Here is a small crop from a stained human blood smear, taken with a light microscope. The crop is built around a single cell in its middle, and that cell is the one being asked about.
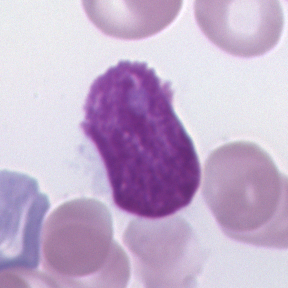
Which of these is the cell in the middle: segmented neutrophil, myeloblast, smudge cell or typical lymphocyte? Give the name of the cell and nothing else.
smudge cell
